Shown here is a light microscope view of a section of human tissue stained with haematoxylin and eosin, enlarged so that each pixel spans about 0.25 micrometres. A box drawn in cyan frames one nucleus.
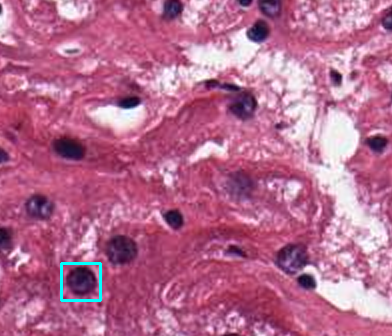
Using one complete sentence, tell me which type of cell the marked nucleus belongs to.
Here it is an adrenal cortical cell that the marked nucleus belongs to.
